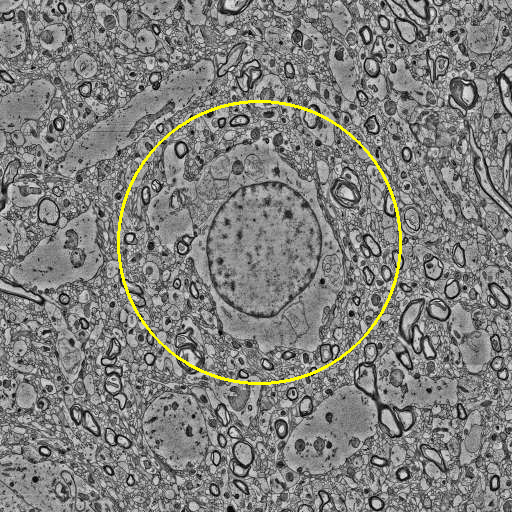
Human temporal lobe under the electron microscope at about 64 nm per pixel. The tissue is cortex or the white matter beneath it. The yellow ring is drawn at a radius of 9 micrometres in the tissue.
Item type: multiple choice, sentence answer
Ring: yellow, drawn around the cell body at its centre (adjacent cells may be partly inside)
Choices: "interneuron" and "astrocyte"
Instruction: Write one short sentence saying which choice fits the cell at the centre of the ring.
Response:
This ring is drawn around an astrocyte.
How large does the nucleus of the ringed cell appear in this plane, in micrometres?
About 9 by 7 micrometers for the nucleus, in this plane.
